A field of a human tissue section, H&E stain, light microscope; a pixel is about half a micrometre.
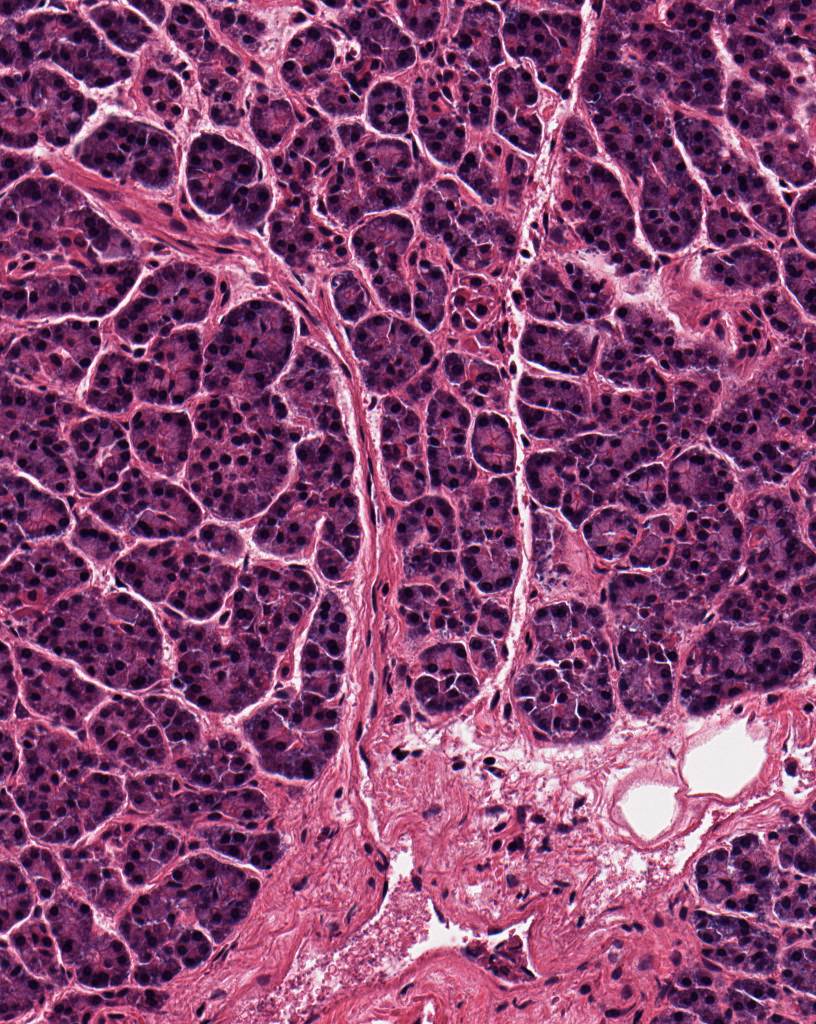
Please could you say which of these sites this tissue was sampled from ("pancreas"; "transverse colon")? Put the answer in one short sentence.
The site this tissue was sampled from is the pancreas.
